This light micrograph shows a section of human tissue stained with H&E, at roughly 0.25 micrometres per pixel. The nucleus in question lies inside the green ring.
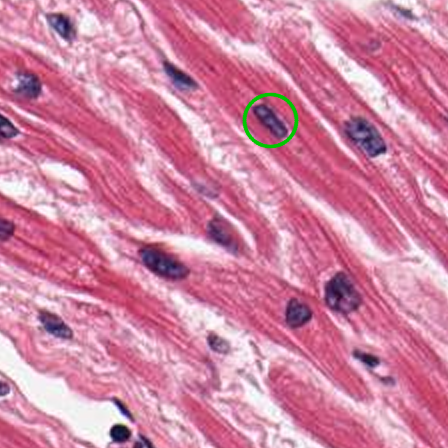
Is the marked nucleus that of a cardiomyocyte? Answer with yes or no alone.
yes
